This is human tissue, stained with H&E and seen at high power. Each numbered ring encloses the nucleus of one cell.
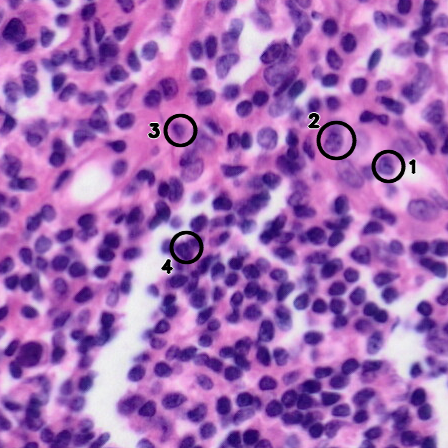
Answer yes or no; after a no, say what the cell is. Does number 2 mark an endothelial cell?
Yes.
